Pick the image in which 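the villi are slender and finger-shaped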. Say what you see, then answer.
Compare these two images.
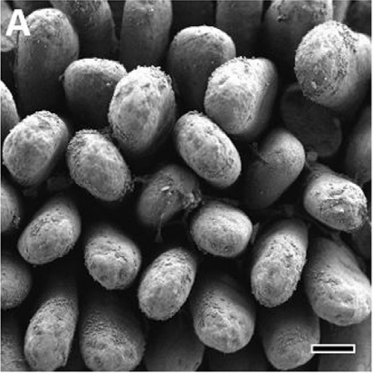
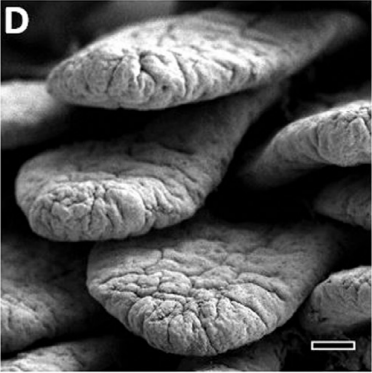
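Second image: villi are broad, flattened and leaf-like, overlapping each other. First image: villi are narrow, cylindrical with rounded tips, standing side by side. On this evidence: the first image.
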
